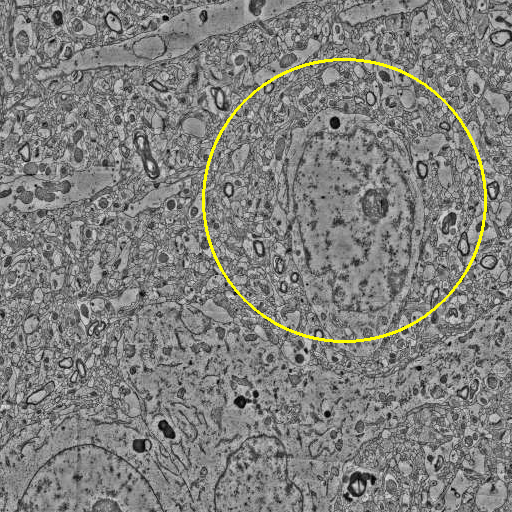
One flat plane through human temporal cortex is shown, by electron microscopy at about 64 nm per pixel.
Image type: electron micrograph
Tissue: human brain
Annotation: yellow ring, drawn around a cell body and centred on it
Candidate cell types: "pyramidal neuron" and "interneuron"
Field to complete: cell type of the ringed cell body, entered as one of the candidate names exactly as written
interneuron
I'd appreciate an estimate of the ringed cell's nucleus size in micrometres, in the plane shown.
The nucleus comes to approximately 12 by 8 micrometres and is clearly longer than it is wide in this plane.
